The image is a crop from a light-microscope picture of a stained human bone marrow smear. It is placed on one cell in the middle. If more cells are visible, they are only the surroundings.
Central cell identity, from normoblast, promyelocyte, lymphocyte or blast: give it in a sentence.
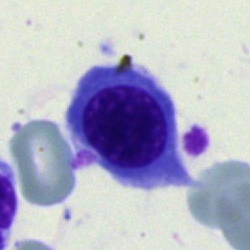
Answering briefly, the cell in the middle is a normoblast.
